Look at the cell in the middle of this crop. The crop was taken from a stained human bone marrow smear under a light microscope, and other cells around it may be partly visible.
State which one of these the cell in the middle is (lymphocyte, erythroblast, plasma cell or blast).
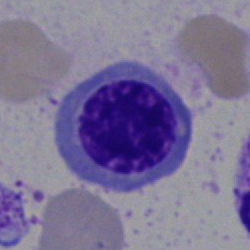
erythroblast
